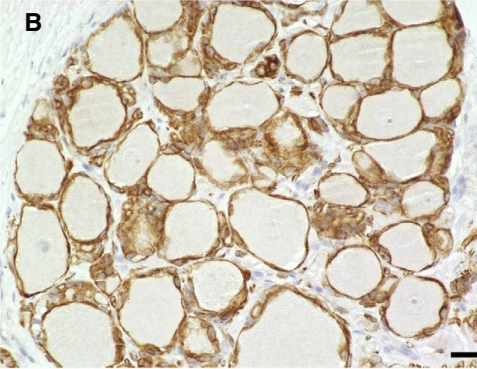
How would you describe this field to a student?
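Large round to polygonal neuronal cell bodies with pale, finely granular cytoplasm and central round nuclei with nucleoli are packed in the ganglion, separated by thin strands of connective tissue. Each cell body is closely encircled by a thin layer of flattened cells that is stained dark brown, forming a continuous rim; these are the satellite glial cells enveloping the neurons.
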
